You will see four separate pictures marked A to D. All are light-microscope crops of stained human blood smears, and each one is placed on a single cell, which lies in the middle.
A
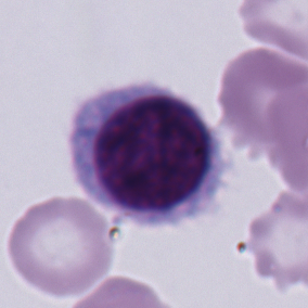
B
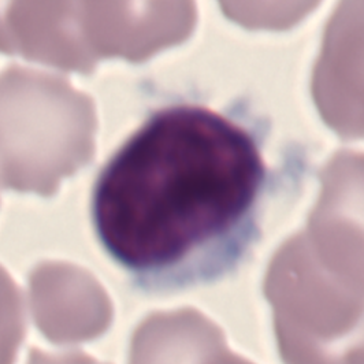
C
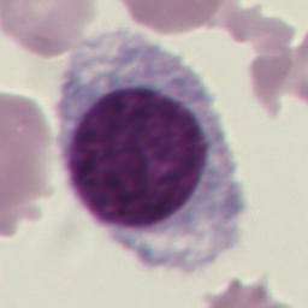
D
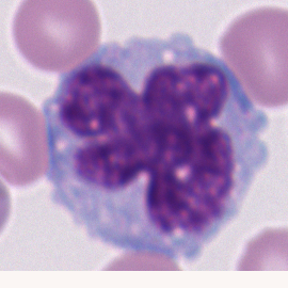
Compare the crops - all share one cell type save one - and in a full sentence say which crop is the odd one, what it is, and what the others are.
Crop D is different, showing a monocyte, whereas all the others show hairy cells.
